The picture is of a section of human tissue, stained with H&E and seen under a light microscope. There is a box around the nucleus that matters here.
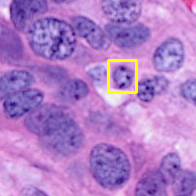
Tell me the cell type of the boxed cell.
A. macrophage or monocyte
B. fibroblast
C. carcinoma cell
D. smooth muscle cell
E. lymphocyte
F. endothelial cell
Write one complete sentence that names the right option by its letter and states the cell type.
Of all the options, A is right, since the boxed cell is a macrophage or monocyte.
